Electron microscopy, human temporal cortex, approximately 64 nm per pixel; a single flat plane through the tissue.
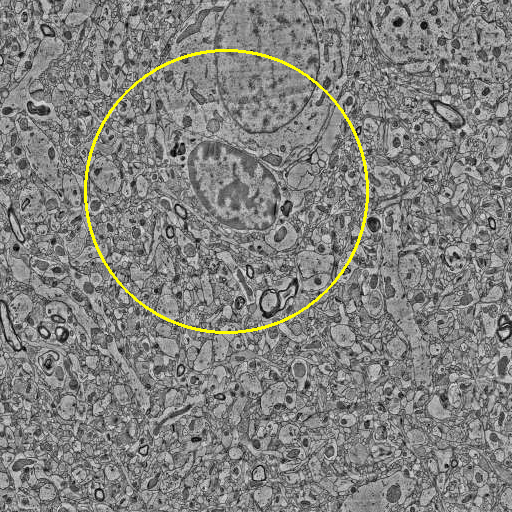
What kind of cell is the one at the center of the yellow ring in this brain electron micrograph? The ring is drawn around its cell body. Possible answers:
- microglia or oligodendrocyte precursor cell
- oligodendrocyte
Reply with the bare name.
microglia or oligodendrocyte precursor cell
